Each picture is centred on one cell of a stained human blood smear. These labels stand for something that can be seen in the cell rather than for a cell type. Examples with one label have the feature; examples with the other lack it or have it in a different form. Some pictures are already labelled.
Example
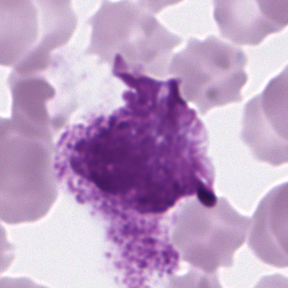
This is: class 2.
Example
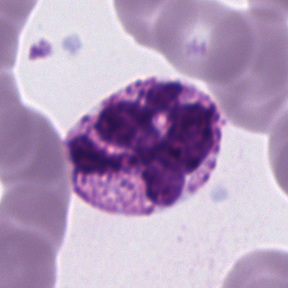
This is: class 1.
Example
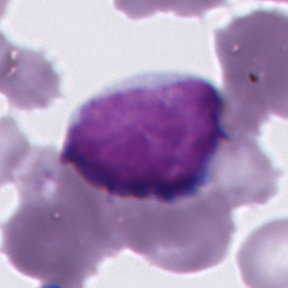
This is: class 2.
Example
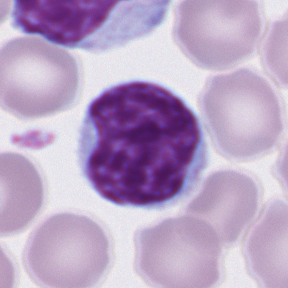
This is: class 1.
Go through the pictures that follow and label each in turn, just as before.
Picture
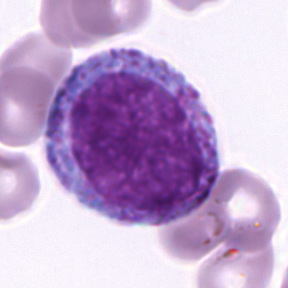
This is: class 1.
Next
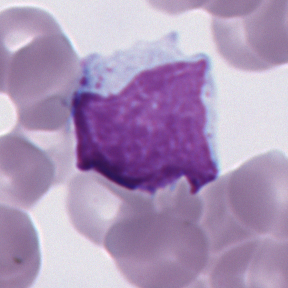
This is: class 2.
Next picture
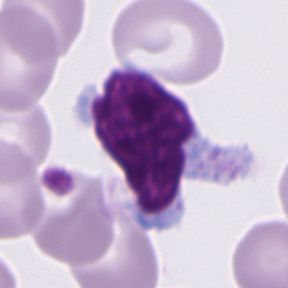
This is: class 2.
